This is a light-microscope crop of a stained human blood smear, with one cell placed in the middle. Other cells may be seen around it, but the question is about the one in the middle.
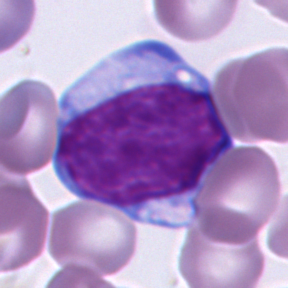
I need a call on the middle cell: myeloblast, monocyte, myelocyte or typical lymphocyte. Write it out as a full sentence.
Positioned in the middle of the crop is a myeloblast.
